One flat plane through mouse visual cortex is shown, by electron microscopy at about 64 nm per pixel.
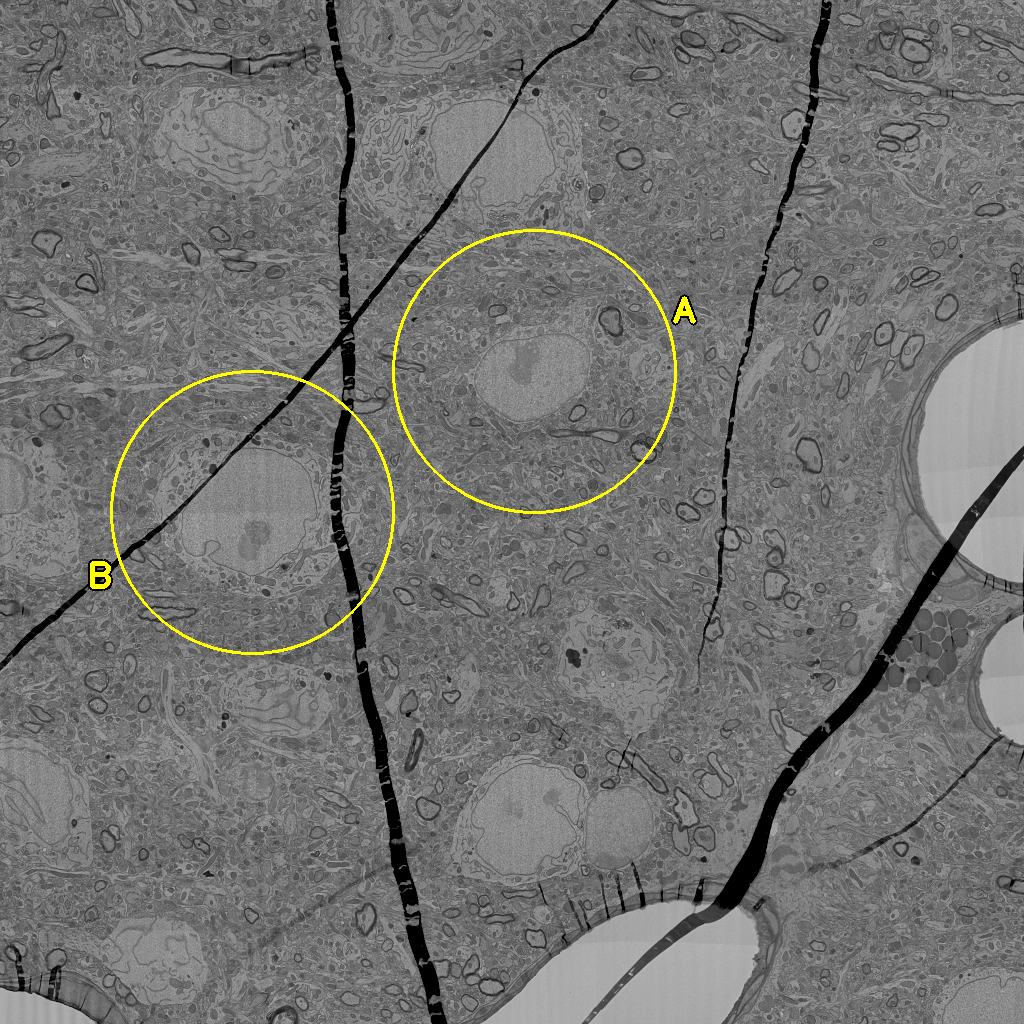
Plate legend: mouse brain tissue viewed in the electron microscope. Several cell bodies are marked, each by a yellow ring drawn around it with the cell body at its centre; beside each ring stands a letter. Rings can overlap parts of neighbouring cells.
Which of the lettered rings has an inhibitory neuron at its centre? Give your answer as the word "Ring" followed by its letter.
Ring B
